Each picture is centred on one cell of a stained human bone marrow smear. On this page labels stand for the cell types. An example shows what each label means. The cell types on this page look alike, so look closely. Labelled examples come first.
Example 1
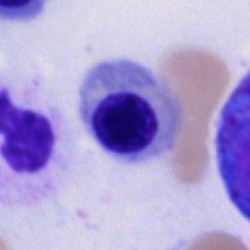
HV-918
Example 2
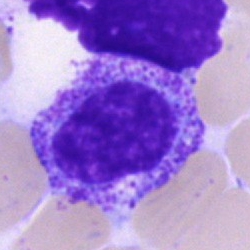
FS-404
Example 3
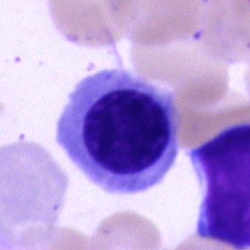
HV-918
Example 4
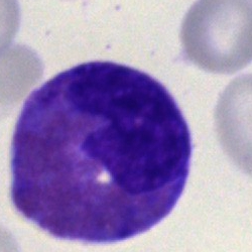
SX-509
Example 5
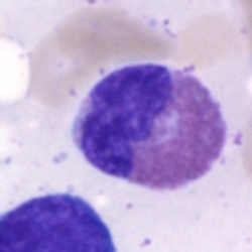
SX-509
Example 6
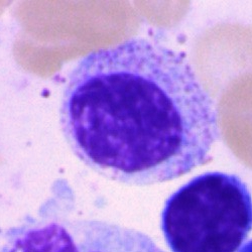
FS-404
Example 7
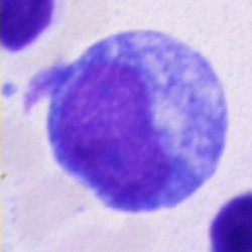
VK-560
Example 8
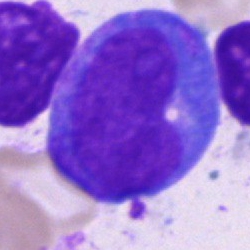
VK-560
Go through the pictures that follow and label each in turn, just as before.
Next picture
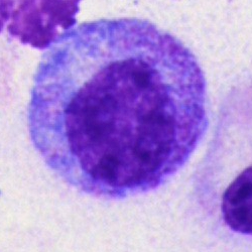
FS-404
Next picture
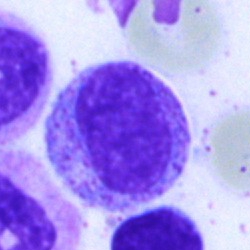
FS-404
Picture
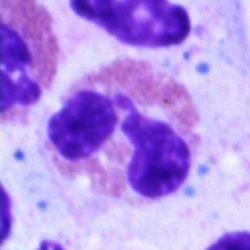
SX-509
